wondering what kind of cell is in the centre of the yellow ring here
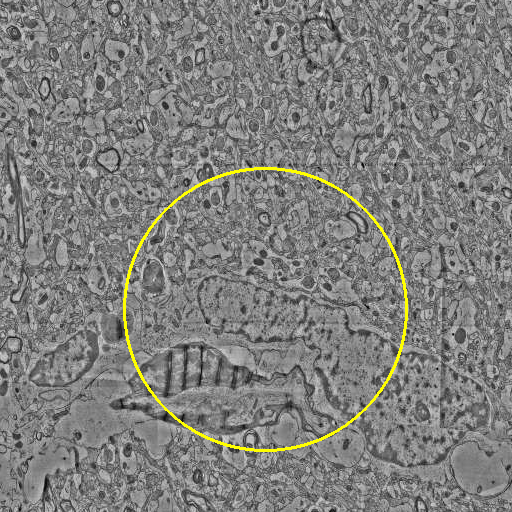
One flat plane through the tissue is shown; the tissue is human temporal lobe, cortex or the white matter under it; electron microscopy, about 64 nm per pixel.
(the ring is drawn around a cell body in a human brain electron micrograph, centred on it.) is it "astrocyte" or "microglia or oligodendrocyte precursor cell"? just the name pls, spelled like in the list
microglia or oligodendrocyte precursor cell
